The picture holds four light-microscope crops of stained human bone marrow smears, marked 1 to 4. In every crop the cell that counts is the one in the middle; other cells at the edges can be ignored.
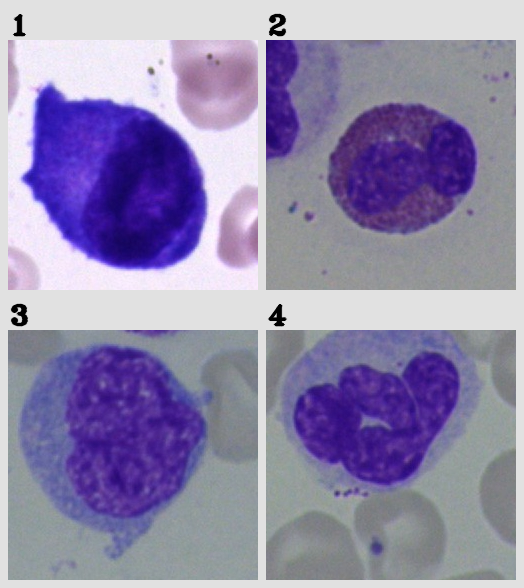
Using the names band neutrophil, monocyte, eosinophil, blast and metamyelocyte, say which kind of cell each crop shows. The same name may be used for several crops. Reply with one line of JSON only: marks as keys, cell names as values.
{"1": "blast", "2": "eosinophil", "3": "blast", "4": "monocyte"}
